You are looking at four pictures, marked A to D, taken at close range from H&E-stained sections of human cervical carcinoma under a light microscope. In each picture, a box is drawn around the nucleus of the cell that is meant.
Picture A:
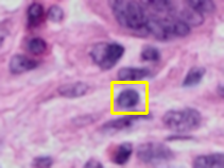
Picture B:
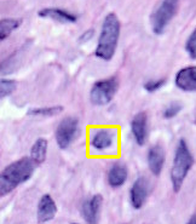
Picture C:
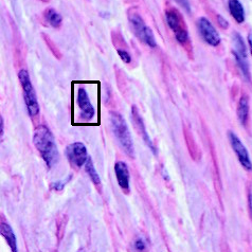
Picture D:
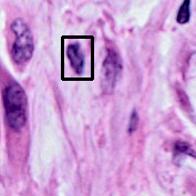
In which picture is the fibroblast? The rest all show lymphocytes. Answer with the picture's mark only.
B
